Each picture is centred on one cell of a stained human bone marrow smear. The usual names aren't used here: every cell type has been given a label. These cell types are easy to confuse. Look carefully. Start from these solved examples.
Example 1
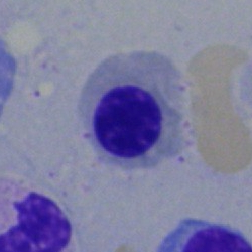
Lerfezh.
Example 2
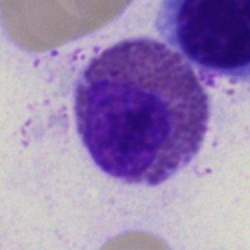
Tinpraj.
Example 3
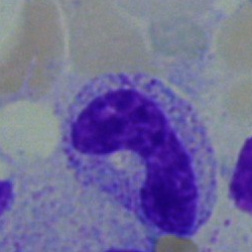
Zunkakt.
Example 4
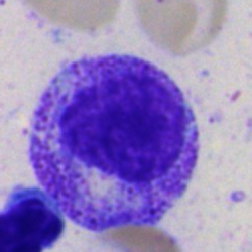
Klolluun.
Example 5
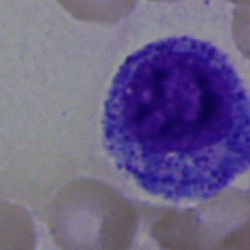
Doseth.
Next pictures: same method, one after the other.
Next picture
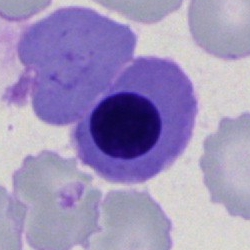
Lerfezh.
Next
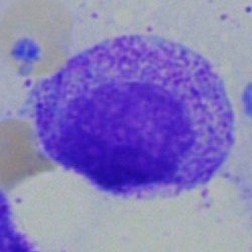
Klolluun.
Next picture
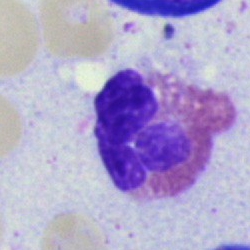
Tinpraj.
